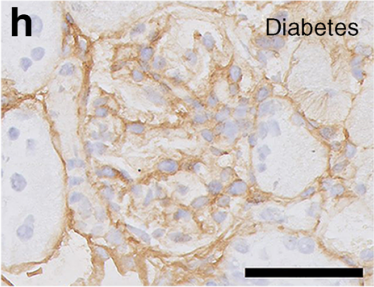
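This is kidney cortex with a large glomerulus occupying most of the field, flanked by tubules. Within the glomerular tuft, a network of brown staining runs between the blue nuclei of the capillary loops. Brown lines also outline the tubules at their bases. The tubule cells have pale cytoplasm and round blue nuclei.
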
